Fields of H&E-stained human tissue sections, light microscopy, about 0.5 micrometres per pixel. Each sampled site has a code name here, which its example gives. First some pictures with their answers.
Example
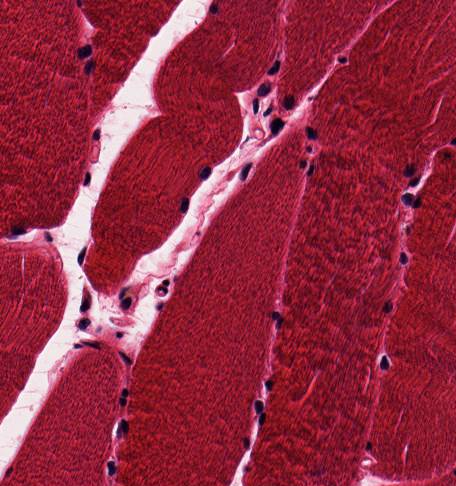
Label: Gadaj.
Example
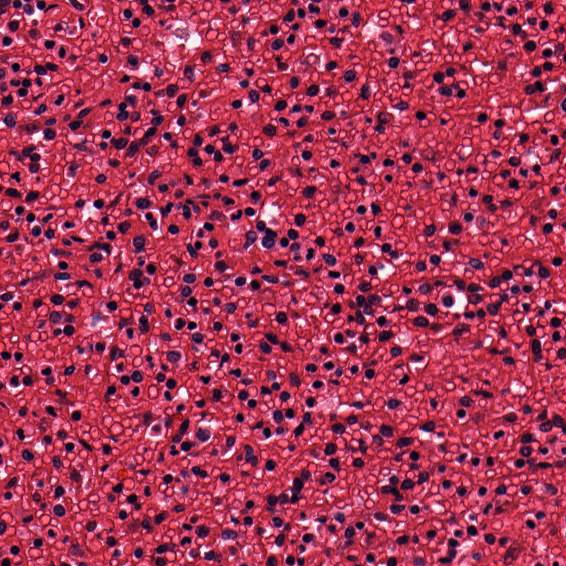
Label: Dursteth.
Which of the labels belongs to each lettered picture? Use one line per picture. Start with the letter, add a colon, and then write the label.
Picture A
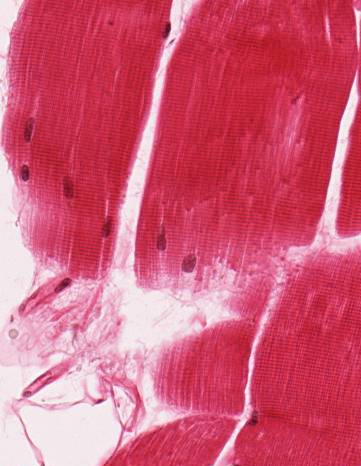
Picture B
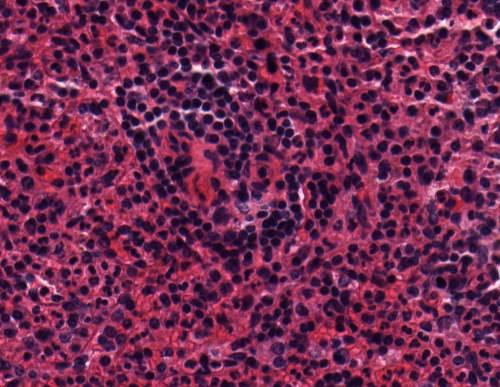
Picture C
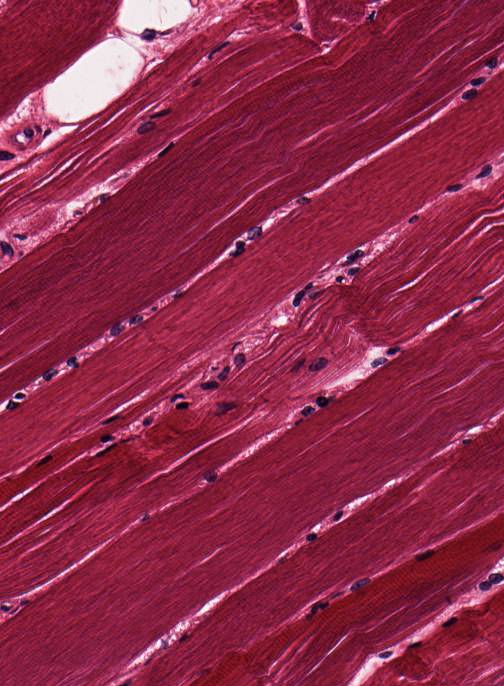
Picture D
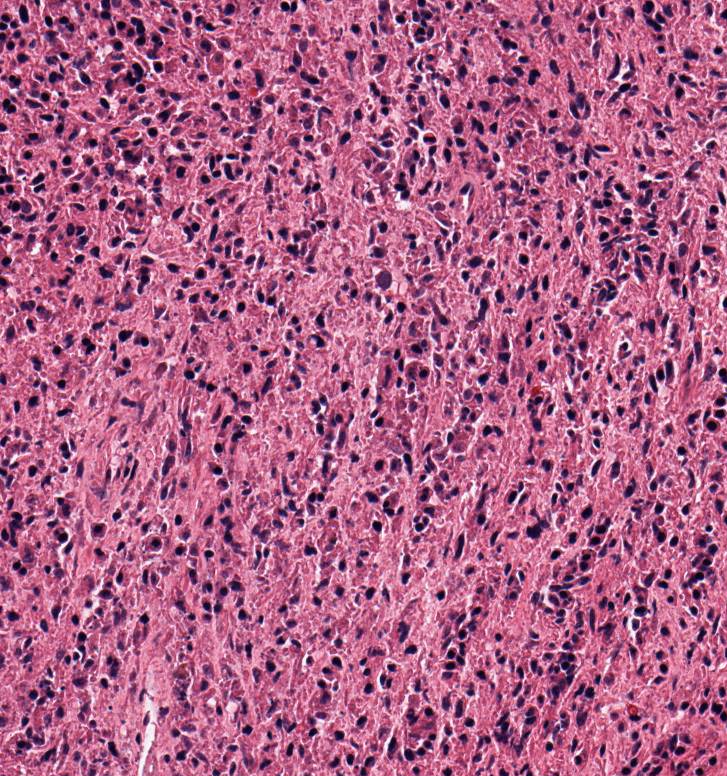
A: Gadaj.
B: Dursteth.
C: Gadaj.
D: Dursteth.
